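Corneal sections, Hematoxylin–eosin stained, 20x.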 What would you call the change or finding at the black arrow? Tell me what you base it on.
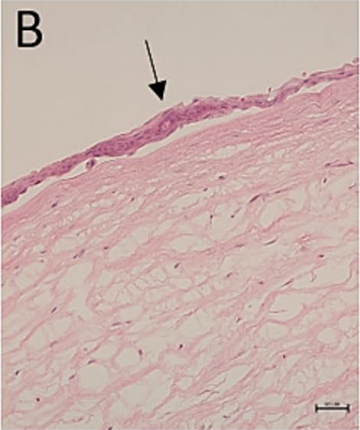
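At the arrow the surface epithelium is locally thicker, with several layers of nuclei. Elsewhere along the surface the epithelium is thinner. On this evidence: focal hyperplasia.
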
